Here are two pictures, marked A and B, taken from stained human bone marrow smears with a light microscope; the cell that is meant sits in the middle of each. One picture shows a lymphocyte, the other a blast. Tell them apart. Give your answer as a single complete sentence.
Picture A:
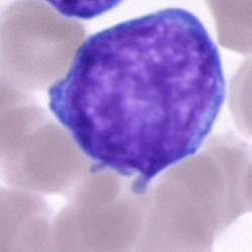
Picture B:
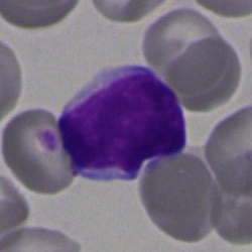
Picture B shows a lymphocyte, while picture A shows a blast.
